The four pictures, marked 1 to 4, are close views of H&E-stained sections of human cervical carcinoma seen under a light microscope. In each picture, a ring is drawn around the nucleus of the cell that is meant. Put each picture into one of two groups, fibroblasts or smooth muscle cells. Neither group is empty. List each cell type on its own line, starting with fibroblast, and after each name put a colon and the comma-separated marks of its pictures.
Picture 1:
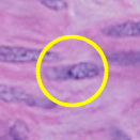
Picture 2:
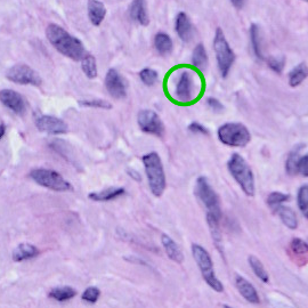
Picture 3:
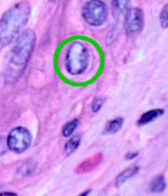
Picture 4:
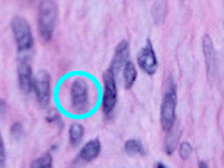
fibroblast: 2
smooth muscle cell: 1, 3, 4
